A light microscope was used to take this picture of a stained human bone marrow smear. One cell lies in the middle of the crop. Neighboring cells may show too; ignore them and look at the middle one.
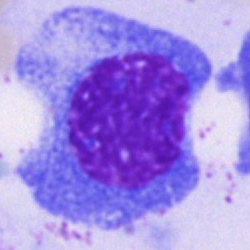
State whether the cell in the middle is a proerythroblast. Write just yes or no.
no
